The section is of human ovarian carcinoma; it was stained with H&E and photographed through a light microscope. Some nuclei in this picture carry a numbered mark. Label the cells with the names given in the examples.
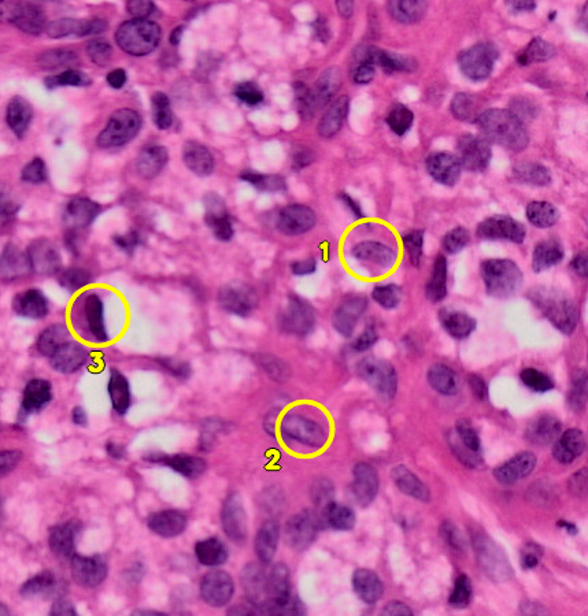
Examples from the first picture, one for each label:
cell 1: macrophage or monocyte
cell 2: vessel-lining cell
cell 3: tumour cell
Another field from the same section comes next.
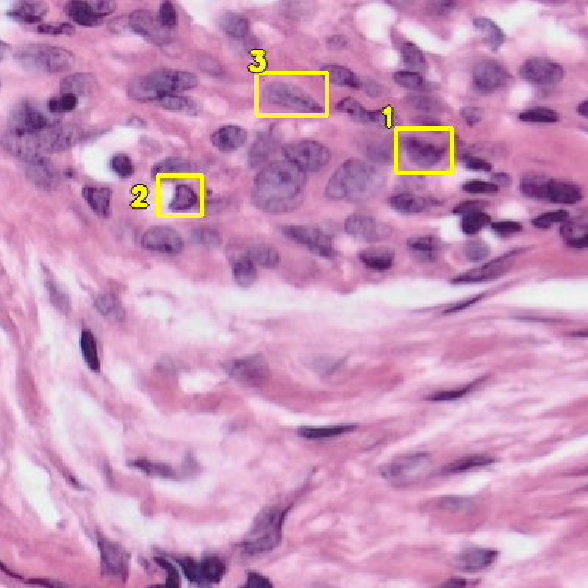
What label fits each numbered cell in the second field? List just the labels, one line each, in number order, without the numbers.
tumour cell
tumour cell
vessel-lining cell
